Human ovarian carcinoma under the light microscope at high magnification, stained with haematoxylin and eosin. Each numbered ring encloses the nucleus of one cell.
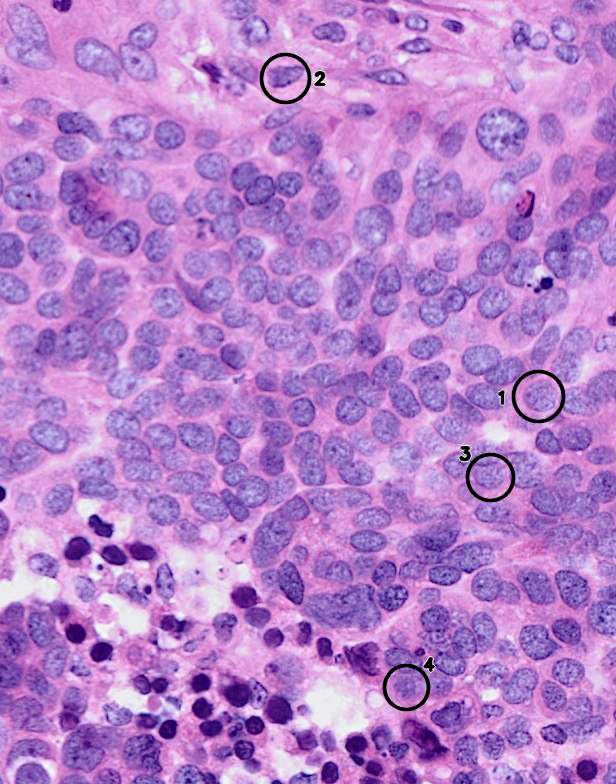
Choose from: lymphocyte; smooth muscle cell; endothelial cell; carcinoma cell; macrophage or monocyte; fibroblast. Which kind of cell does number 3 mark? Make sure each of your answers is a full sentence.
The cell that bears the number 3 is a carcinoma cell.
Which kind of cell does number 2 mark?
Cell 2 is classified as a macrophage or monocyte.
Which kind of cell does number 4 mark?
The cell carrying label 4 is identified as a carcinoma cell.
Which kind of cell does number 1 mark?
As for number 1, that cell is a carcinoma cell.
